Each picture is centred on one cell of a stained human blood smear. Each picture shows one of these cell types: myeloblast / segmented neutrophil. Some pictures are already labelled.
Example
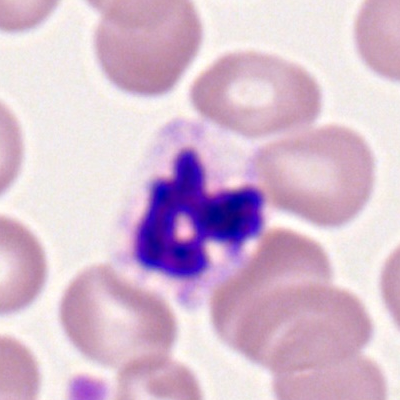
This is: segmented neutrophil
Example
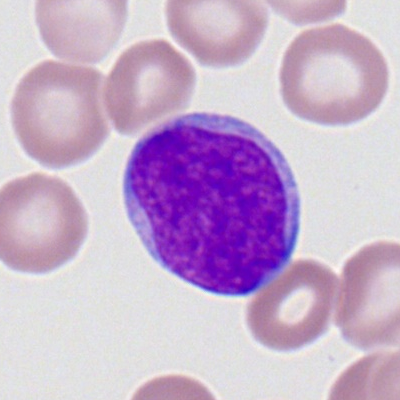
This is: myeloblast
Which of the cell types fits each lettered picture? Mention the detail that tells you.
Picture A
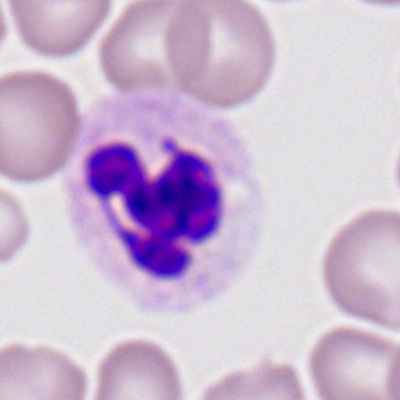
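Label: segmented neutrophil. The cytoplasm is abundant and pale pinkish-lilac.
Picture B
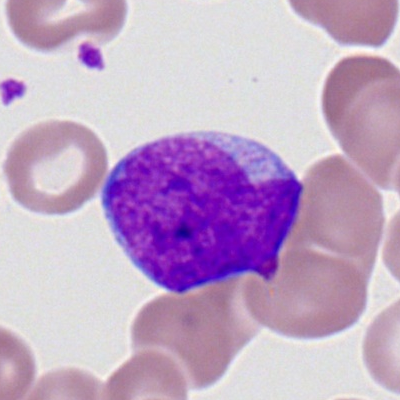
Label: myeloblast. The nucleus fills most of the cell.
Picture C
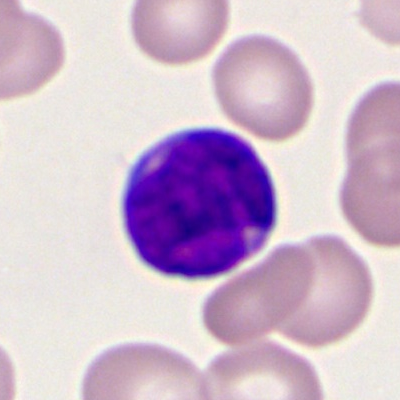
Label: myeloblast. Cytoplasm is very scant, at most a thin rim at the edge of the nucleus.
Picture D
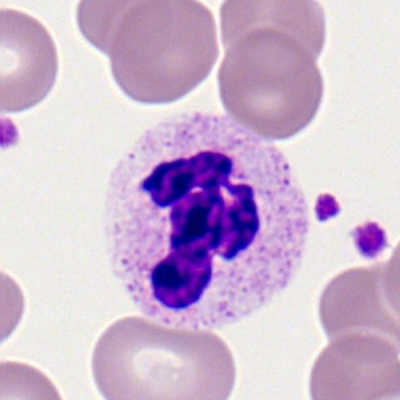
Label: segmented neutrophil. The cytoplasm is abundant and pale pink.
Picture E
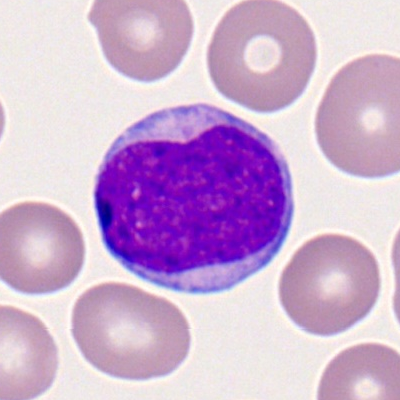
Label: myeloblast. The nucleus fills most of the cell.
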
